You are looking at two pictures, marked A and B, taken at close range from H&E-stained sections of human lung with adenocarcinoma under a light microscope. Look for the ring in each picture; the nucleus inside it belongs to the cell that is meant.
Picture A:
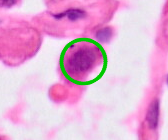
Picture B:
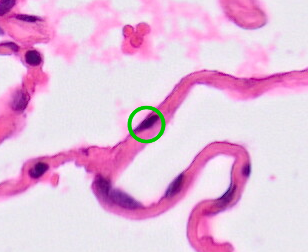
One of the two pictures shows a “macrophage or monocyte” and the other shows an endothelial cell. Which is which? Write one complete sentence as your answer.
The cell in picture A is a “macrophage or monocyte”, and the one in picture B is an endothelial cell.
